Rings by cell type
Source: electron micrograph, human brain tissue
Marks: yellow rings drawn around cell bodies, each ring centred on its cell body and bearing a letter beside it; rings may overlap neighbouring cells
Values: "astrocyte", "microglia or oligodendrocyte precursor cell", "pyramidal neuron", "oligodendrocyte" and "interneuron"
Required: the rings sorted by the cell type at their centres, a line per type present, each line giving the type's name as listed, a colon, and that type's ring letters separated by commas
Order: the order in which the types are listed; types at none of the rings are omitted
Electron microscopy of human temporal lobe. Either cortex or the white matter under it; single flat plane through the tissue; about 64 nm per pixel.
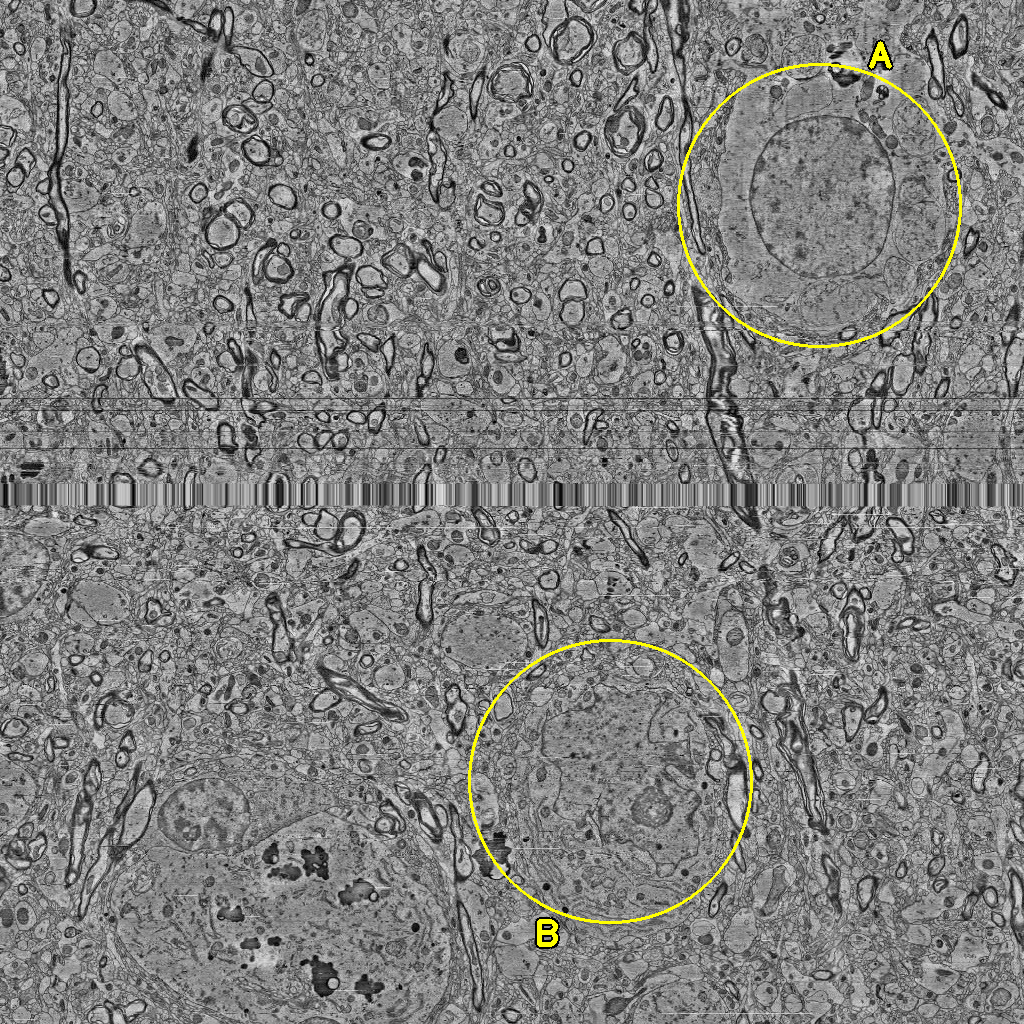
astrocyte: A
interneuron: B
